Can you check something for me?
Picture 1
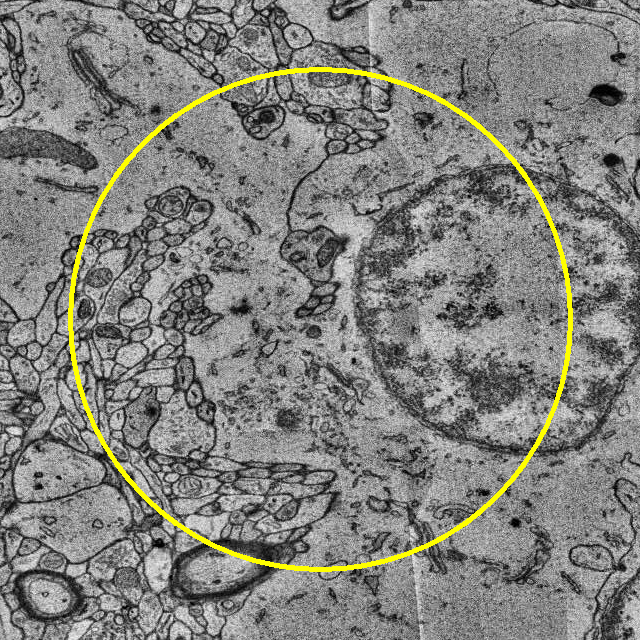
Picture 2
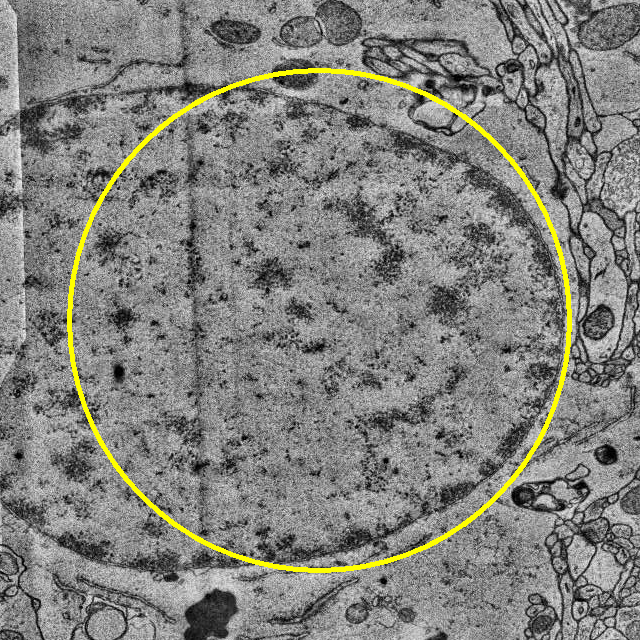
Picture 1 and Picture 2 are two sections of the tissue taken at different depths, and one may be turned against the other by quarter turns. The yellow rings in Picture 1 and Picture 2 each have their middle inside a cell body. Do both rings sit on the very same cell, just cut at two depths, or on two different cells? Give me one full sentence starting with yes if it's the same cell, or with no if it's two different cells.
Yes, the two rings mark one cell and not separate cells.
